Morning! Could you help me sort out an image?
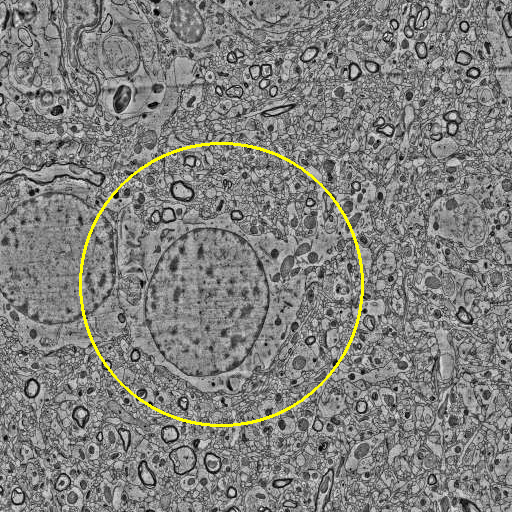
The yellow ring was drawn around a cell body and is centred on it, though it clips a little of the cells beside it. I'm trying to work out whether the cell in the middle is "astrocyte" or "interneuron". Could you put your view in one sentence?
The ringed cell body is that of an astrocyte.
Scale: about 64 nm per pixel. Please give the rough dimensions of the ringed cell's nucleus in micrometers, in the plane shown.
The nucleus measures about 9 by 8 micrometres in this plane.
